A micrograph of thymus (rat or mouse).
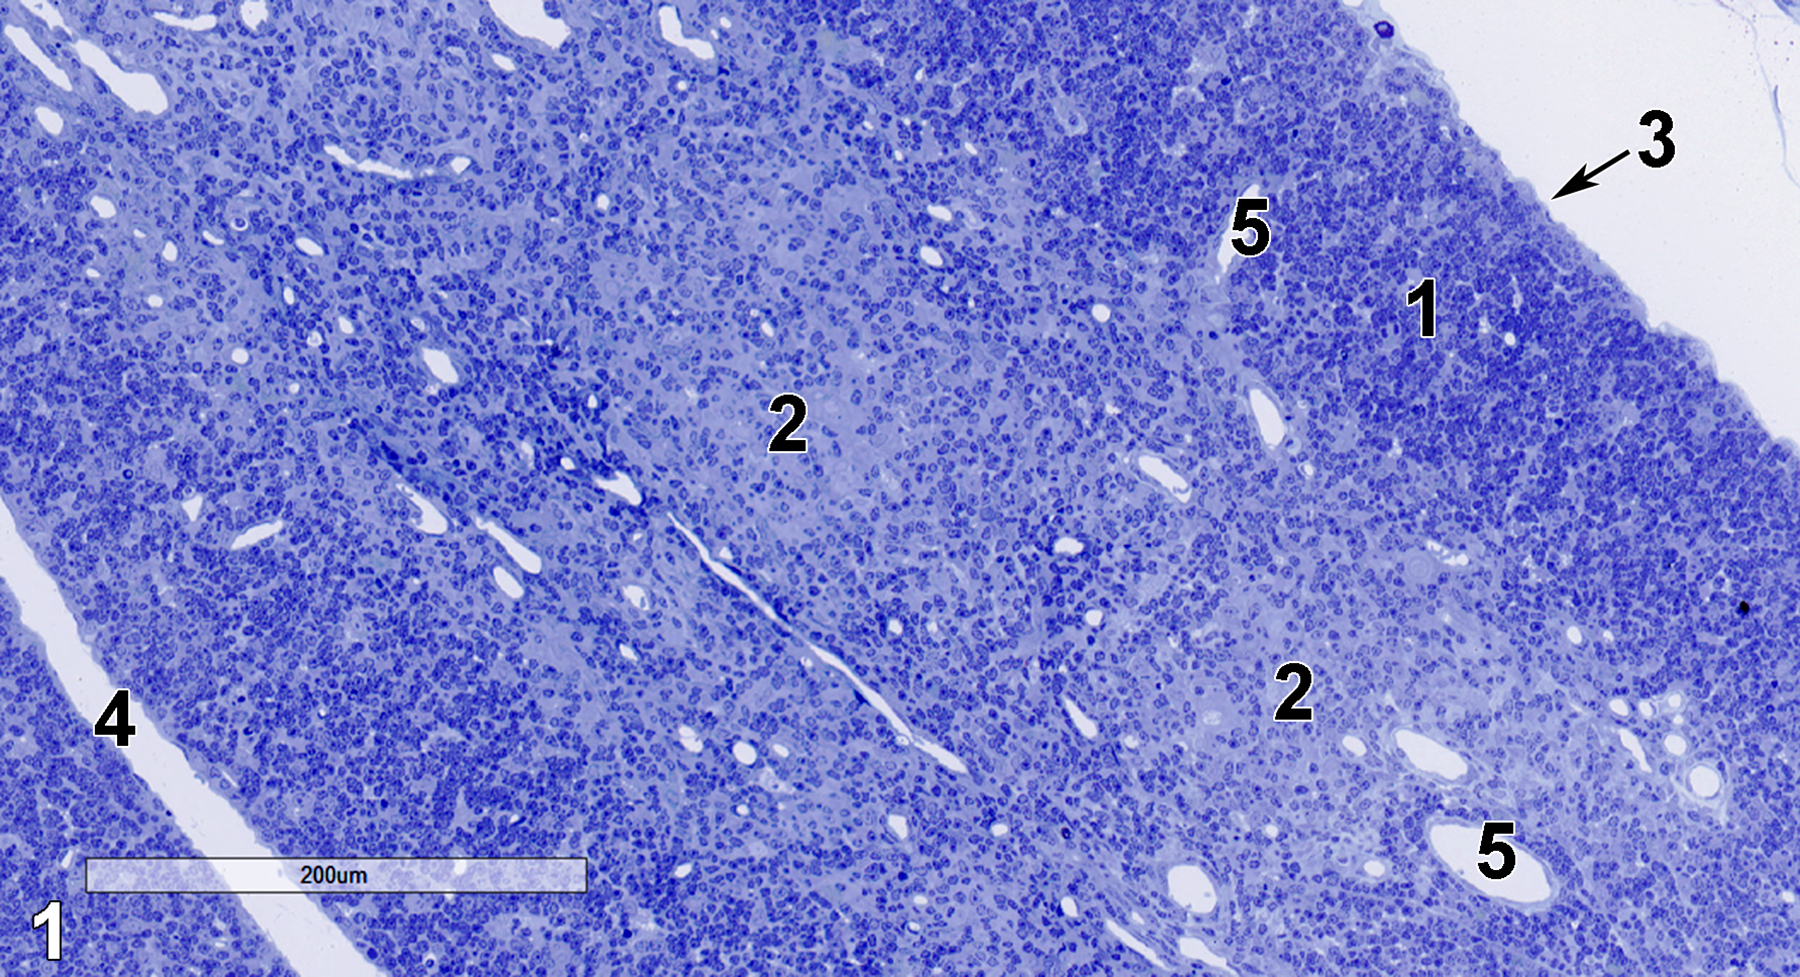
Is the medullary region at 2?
Yes.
